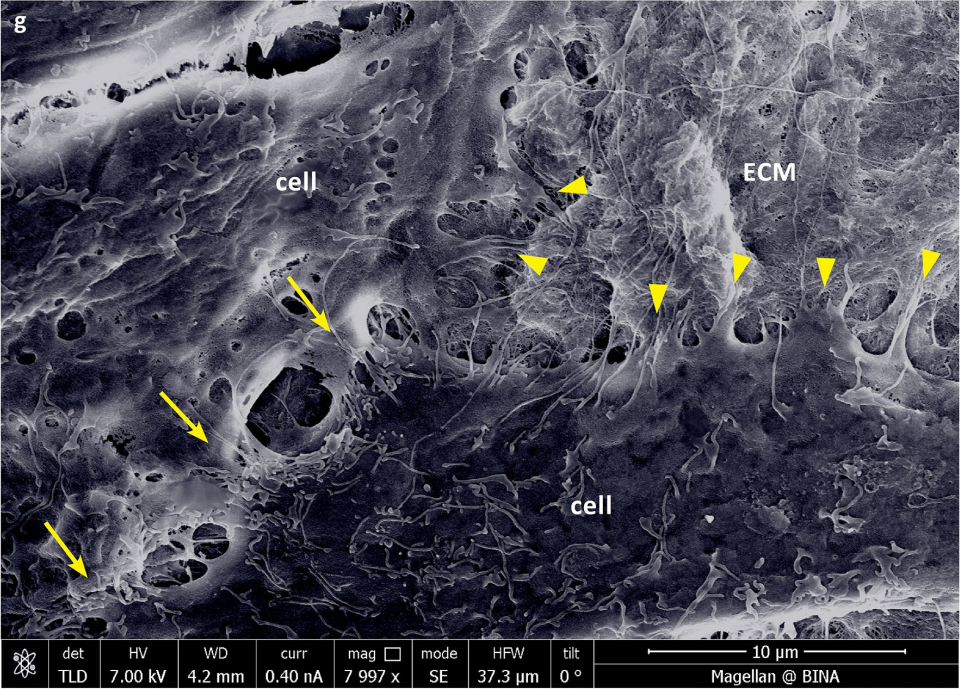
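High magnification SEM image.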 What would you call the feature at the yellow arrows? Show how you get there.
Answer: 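The yellow arrows point to fine thread-like processes at the margins of flattened cell surfaces. The threads bridge across gaps and holes between neighbouring cell sheets.
Cell-to-cell connections.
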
